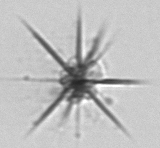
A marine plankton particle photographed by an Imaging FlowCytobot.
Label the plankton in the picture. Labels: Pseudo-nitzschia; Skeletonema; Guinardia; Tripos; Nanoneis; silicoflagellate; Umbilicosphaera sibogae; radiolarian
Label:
radiolarian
